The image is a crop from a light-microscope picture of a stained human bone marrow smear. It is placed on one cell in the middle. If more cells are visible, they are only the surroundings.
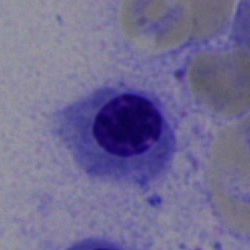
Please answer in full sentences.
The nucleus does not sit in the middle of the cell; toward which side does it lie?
The nucleus is pushed toward the upper right of the cell.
